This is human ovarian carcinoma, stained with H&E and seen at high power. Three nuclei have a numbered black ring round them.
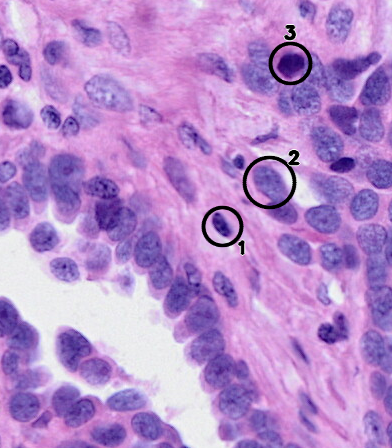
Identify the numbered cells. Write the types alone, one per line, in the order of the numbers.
lymphocyte
carcinoma cell
carcinoma cell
